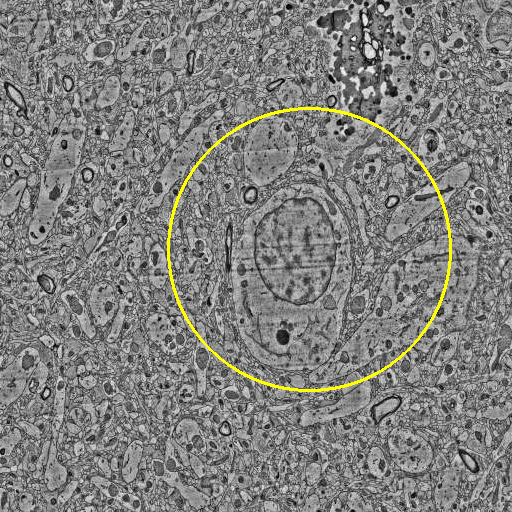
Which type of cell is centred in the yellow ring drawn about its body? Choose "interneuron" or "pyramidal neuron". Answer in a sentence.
The yellow ring surrounds the cell body of a pyramidal neuron.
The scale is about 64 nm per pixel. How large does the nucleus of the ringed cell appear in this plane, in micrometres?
Roughly 7 by 6 micrometres in this plane, for the nucleus of the ringed cell.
